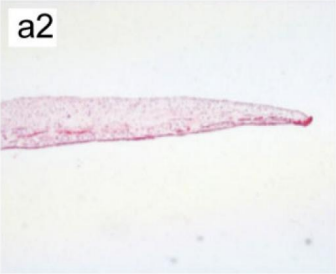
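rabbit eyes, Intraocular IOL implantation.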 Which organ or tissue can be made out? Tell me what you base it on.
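A thin sheet of tissue that tapers to a free tip on the right. Loose stroma with scattered small dark dots throughout. A denser pink line along the lower edge ending at the tip. That points to this answer: iris.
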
